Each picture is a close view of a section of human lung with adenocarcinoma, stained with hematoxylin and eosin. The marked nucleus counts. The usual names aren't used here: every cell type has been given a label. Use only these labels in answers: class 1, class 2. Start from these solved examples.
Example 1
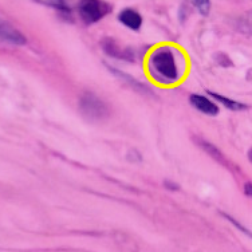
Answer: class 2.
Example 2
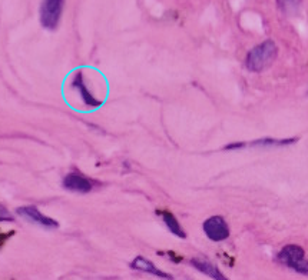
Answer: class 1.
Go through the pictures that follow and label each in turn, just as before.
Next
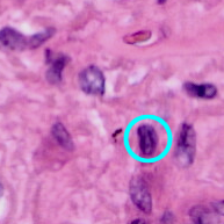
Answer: class 2.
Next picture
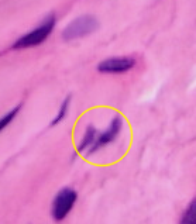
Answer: class 1.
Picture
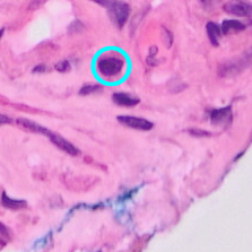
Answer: class 2.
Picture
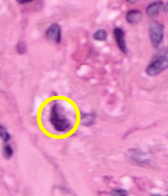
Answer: class 2.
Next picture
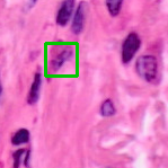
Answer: class 2.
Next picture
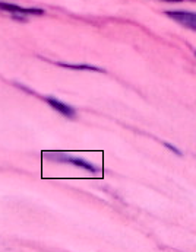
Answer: class 1.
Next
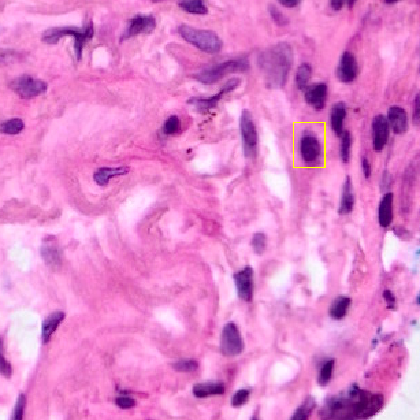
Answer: class 2.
